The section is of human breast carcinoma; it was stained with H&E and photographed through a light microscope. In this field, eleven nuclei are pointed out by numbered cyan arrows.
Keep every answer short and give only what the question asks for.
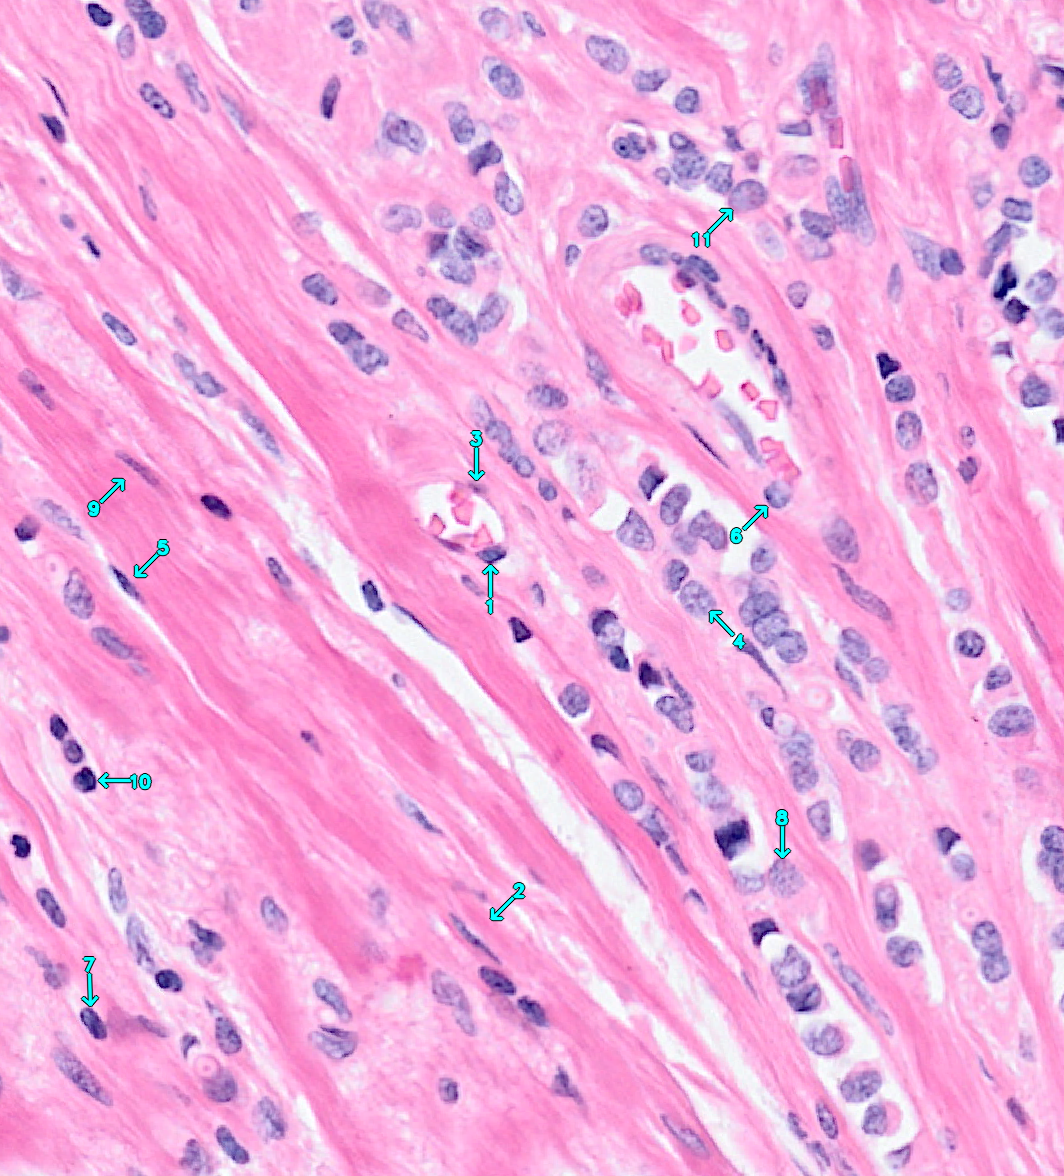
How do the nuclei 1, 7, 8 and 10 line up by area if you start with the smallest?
1, 10, 7, 8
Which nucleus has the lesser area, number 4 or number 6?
6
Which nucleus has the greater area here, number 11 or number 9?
11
